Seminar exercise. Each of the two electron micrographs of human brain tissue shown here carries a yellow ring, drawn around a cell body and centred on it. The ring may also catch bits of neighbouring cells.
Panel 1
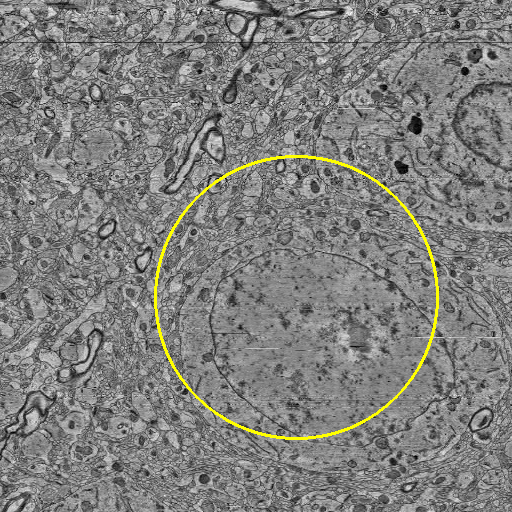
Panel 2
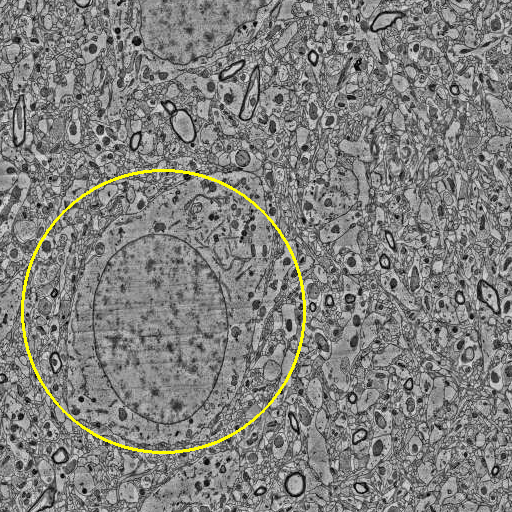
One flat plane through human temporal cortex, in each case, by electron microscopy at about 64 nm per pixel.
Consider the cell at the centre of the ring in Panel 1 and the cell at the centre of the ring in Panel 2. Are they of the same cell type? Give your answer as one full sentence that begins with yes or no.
Yes, both cells are of the same type.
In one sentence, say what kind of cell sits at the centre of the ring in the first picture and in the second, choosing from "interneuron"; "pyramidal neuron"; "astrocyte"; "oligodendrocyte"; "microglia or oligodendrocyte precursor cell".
In the first picture and in the second, the ring is centred on a pyramidal neuron.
